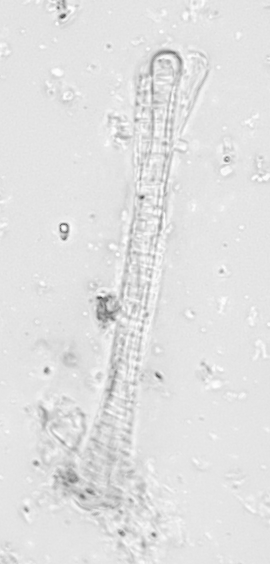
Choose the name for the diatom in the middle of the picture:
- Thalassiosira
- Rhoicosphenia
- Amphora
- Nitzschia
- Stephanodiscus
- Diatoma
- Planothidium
Diatoma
